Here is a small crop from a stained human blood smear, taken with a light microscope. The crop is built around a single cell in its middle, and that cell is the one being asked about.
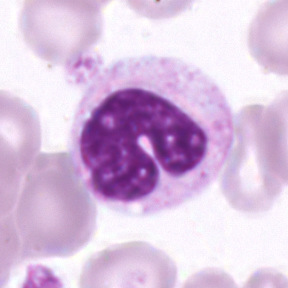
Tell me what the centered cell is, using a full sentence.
What the crop centres on is a band neutrophil.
